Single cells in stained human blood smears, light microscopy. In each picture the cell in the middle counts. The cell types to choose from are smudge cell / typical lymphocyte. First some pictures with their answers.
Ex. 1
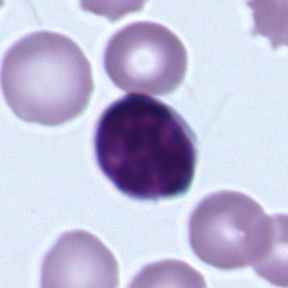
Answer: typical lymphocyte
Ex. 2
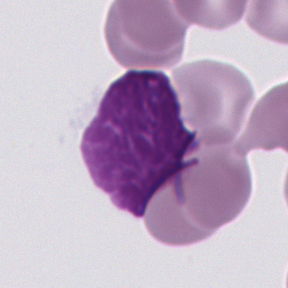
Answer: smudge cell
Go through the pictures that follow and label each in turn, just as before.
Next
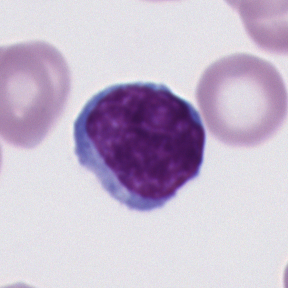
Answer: typical lymphocyte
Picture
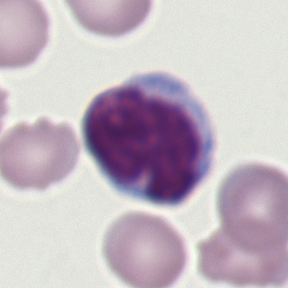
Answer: typical lymphocyte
